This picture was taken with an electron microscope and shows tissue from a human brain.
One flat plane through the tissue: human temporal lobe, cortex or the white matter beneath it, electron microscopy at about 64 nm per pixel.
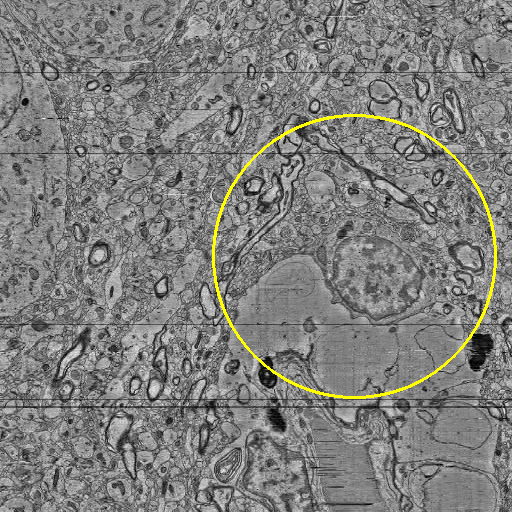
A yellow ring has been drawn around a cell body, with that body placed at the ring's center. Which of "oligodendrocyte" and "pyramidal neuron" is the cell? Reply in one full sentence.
In this picture, an oligodendrocyte is the cell at the center of the yellow ring.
